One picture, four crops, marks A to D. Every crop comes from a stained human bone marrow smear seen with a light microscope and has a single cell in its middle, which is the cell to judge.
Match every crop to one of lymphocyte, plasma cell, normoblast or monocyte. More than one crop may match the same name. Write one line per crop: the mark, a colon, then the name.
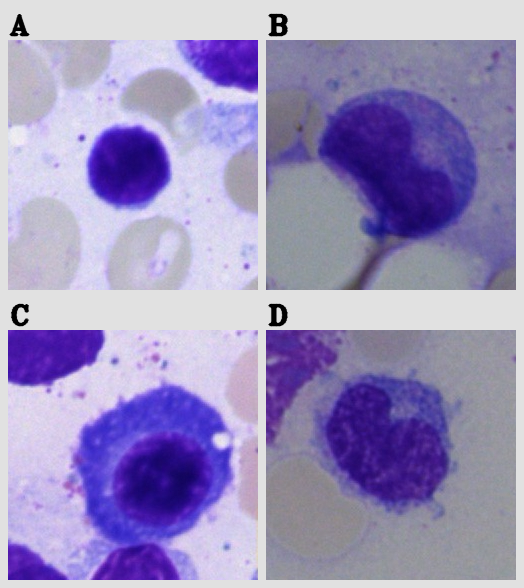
A: lymphocyte
B: monocyte
C: plasma cell
D: monocyte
